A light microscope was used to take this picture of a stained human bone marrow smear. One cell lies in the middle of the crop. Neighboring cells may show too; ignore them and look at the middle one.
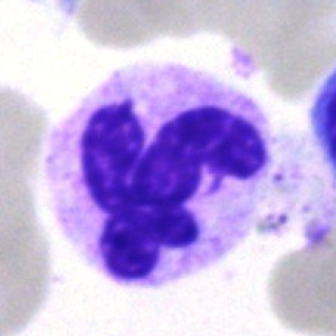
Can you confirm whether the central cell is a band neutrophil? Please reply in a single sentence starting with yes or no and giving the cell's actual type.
No, what sits in the centre of the crop is a segmented neutrophil rather than a band neutrophil.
